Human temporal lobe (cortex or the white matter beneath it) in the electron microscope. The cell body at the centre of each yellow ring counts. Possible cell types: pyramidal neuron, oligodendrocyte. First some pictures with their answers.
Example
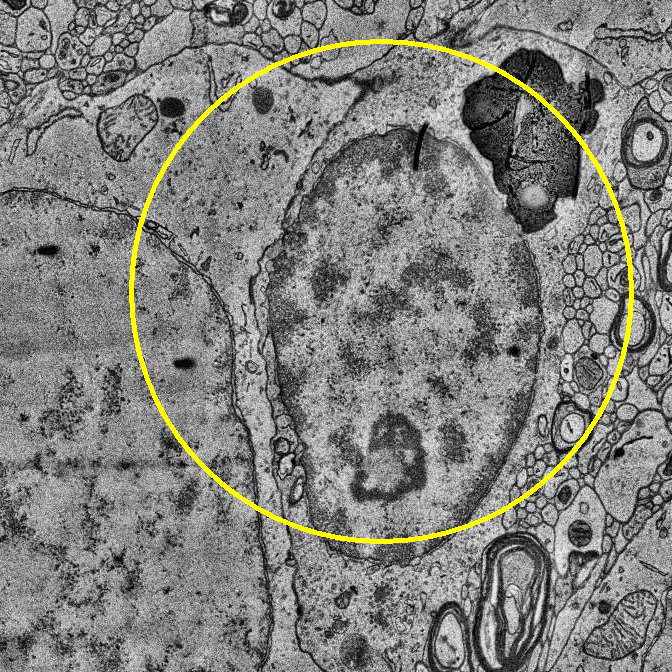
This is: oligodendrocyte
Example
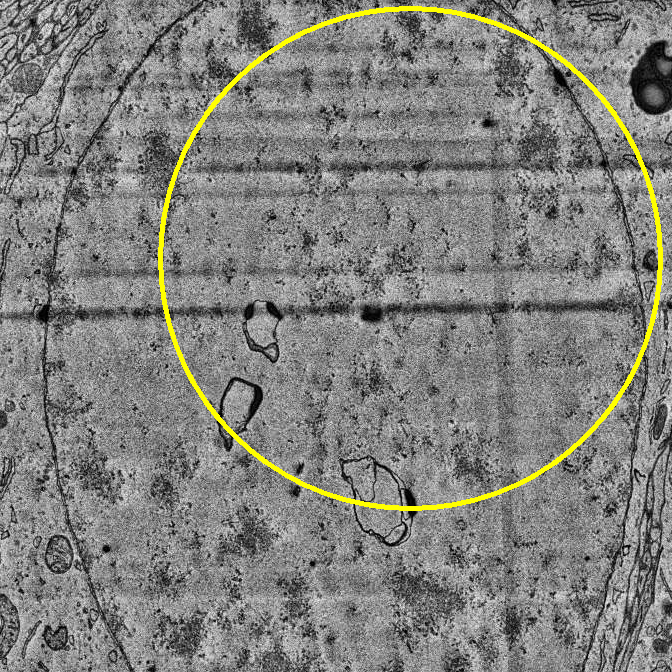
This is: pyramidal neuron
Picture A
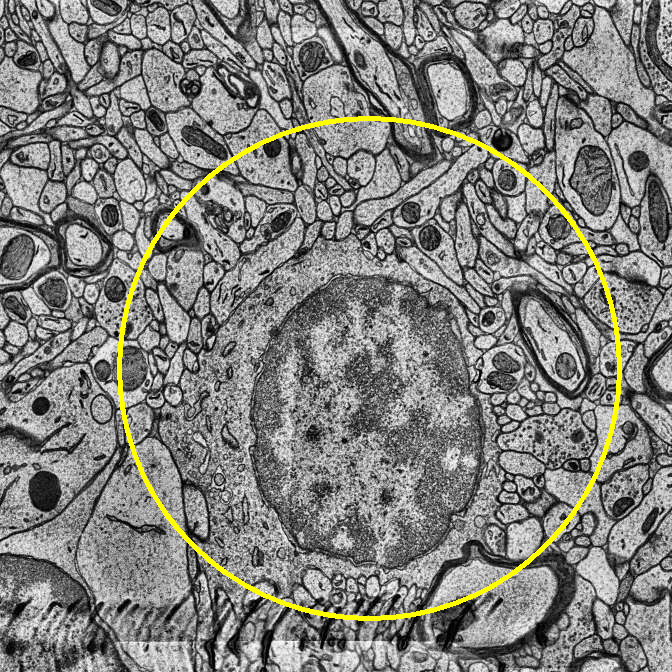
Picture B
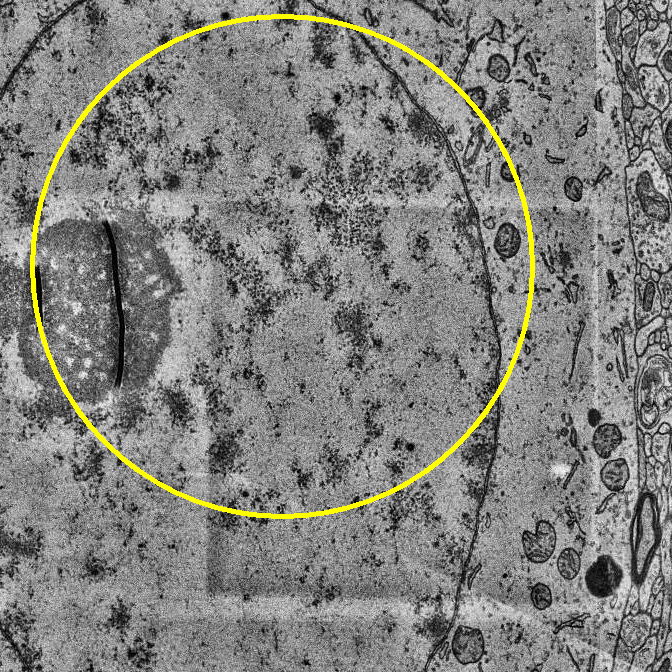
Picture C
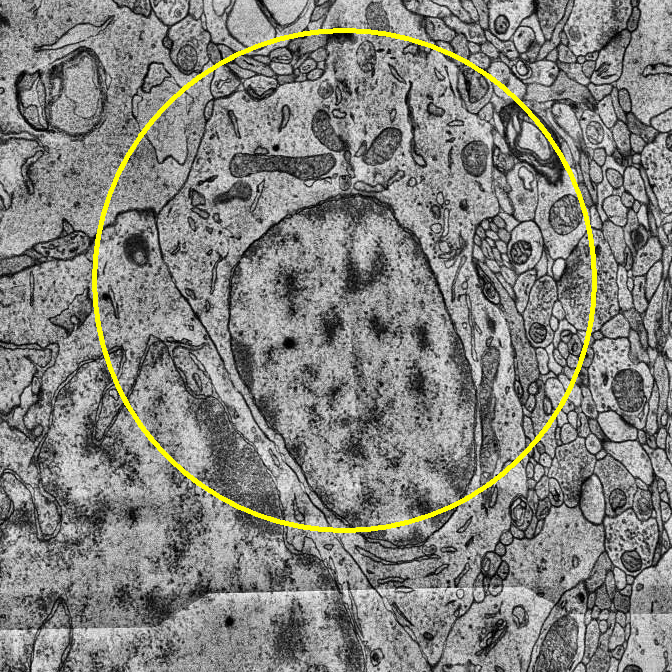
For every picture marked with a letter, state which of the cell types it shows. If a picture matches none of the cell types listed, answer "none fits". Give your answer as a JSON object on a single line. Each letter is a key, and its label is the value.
{"A": "oligodendrocyte", "B": "pyramidal neuron", "C": "none fits"}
